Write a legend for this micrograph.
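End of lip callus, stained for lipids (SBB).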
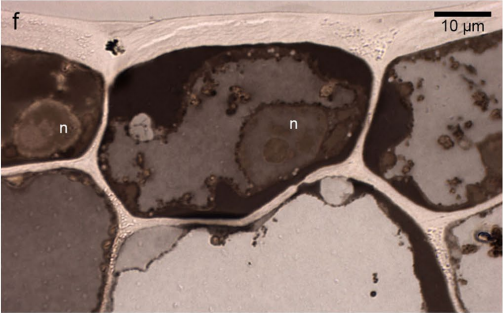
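Outer surface covered by a thick pale layer. Epidermal cells are packed with dark brown to black contents, unevenly dense, with lighter patches and small granules. Cells below the surface row have paler grey contents, with darker rims in places. Cell walls appear as pale bands between the dark cell contents.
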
